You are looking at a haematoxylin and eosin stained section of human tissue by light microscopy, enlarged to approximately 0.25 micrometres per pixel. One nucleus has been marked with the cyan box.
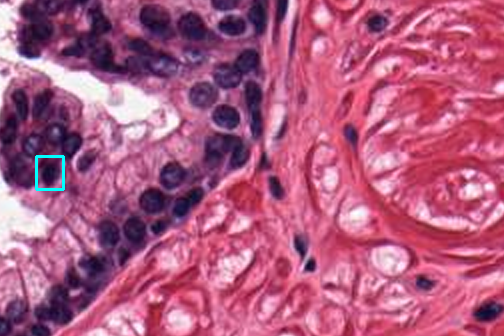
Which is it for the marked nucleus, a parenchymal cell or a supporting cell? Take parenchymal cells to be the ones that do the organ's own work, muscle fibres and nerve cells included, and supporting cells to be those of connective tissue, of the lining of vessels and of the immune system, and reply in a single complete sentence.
The marked nucleus has as its cell a parenchymal cell, namely a prostate gland luminal cell.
